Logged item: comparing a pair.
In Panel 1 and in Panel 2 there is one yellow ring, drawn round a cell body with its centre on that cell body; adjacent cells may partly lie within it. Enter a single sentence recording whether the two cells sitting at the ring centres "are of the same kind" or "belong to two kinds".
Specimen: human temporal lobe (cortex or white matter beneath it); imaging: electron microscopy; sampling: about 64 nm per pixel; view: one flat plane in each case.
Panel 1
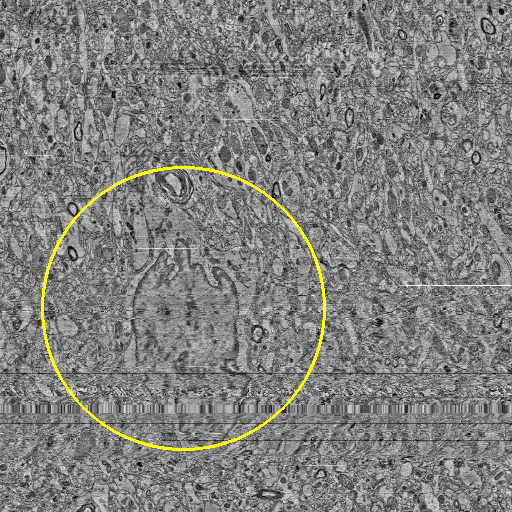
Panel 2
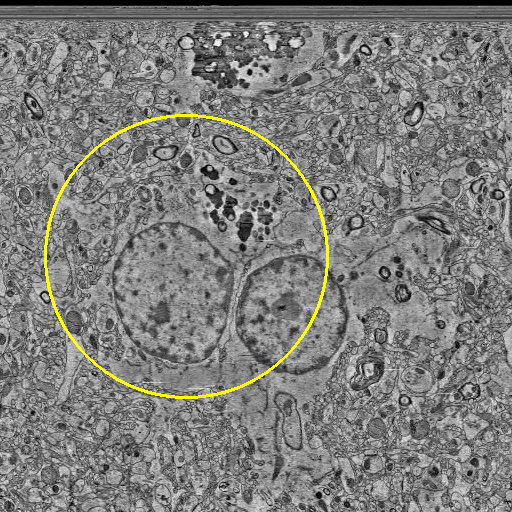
Logged: the cells centred in the rings of Panel 1 and Panel 2 belong to two kinds.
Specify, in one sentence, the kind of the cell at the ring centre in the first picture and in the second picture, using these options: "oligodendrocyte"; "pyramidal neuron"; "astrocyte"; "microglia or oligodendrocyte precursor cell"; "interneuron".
So the first is a microglial cell or oligodendrocyte precursor cell, the second an astrocyte.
